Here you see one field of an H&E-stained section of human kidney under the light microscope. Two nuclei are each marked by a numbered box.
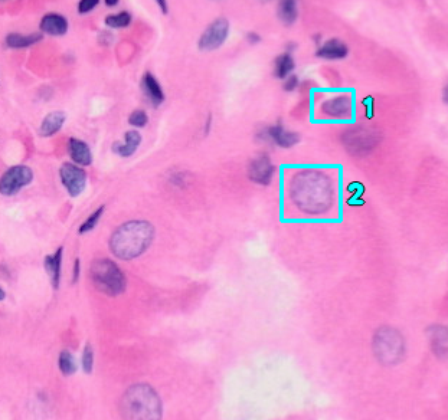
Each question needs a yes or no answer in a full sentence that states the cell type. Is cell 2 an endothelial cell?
No, cell 2 is to be classed as a proximal tubule cell, not an endothelial cell.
